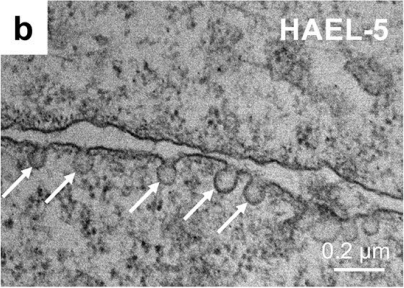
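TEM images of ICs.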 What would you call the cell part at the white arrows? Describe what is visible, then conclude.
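Small round flask-shaped pits line the plasma membrane in a row. The pits open onto the membrane facing a narrow gap next to a neighbouring cell. Each pit is much smaller than the 0.2 µm scale bar. On this evidence: caveolae.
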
